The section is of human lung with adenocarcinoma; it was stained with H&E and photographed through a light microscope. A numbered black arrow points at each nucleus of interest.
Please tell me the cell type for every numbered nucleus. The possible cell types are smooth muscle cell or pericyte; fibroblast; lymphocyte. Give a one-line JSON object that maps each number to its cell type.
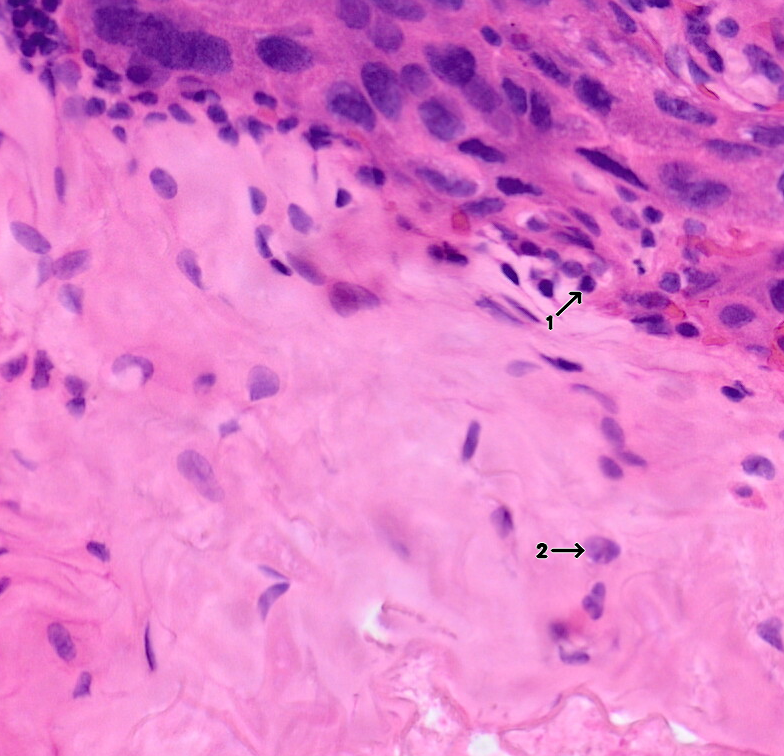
{"1": "lymphocyte", "2": "fibroblast"}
